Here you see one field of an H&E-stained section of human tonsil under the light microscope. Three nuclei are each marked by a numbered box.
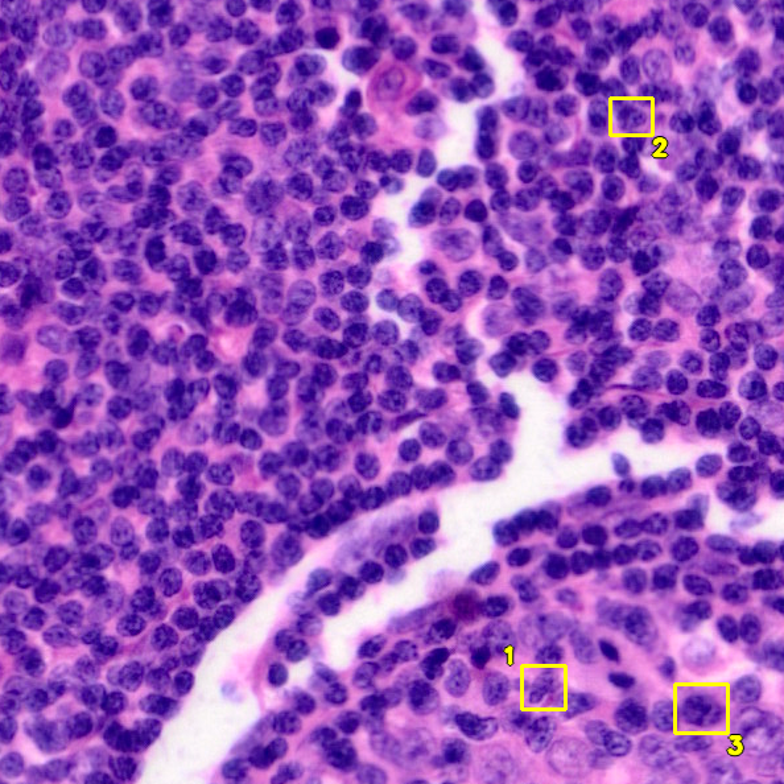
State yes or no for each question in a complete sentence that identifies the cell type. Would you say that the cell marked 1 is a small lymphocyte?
No, the cell marked 1 is a proliferating B cell rather than a small lymphocyte.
